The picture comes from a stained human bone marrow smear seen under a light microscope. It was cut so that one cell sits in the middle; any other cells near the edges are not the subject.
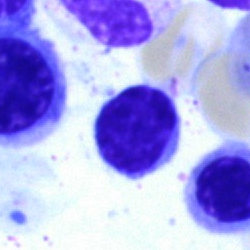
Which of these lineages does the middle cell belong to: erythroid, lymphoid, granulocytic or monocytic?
lymphoid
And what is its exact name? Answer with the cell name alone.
lymphocyte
